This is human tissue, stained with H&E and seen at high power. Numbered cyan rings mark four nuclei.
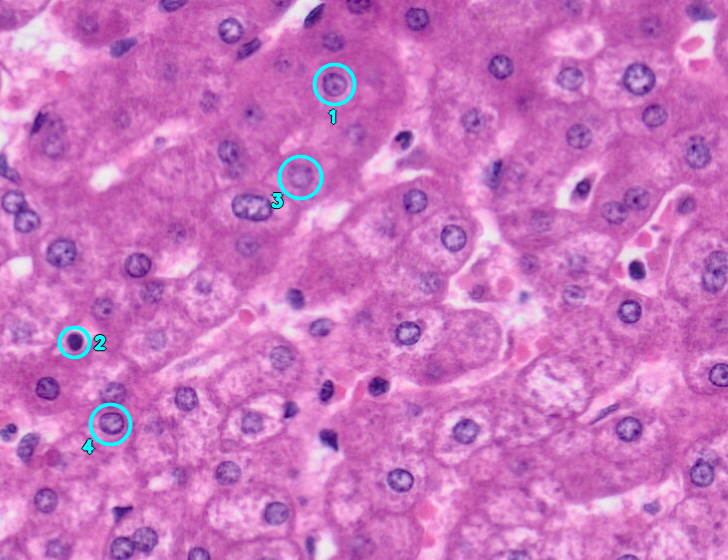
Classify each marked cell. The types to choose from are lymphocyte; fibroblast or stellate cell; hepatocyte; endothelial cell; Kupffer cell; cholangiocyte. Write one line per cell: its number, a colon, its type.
1: hepatocyte
2: lymphocyte
3: hepatocyte
4: hepatocyte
